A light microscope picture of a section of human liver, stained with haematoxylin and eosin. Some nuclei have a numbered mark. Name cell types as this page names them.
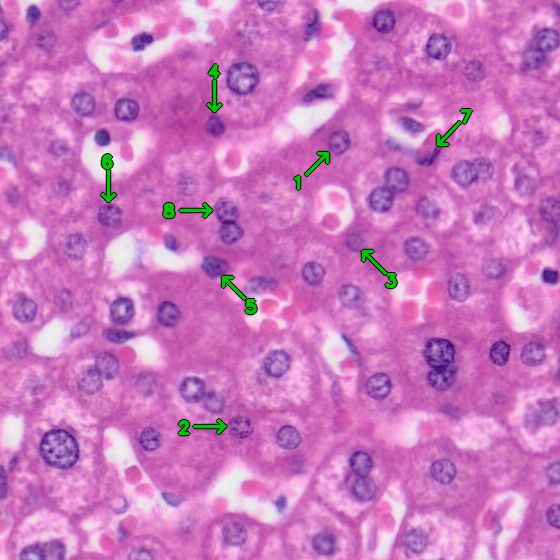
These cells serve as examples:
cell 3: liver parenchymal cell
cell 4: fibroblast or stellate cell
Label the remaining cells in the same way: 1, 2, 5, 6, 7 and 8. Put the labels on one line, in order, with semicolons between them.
liver parenchymal cell; liver parenchymal cell; fibroblast or stellate cell; liver parenchymal cell; fibroblast or stellate cell; liver parenchymal cell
